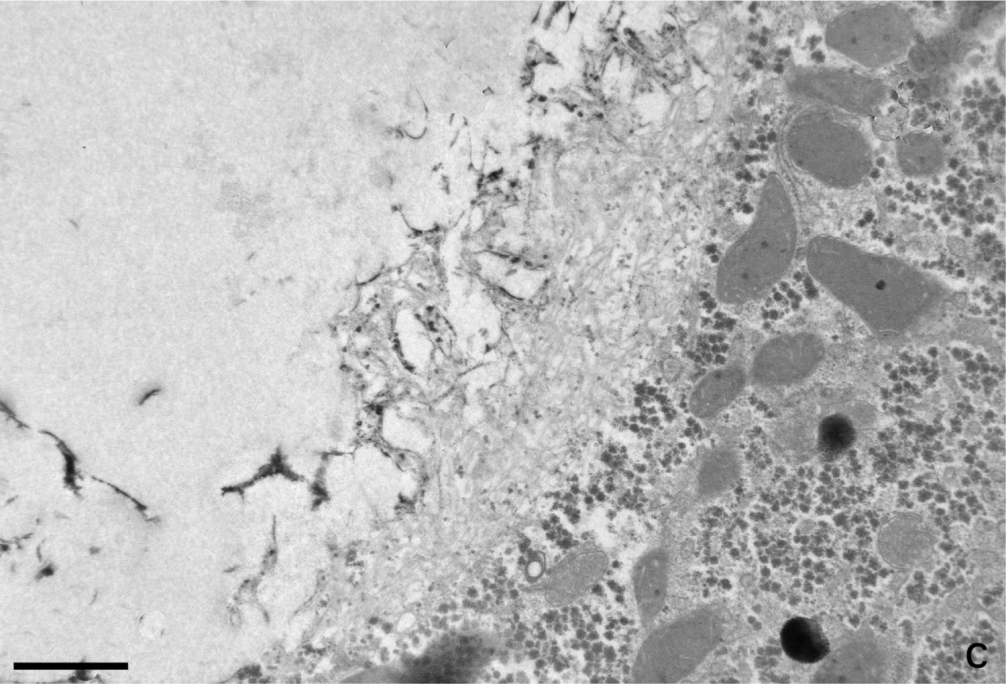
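This high-magnification electron micrograph shows the edge of a lipid droplet lying against the cytoplasm of a parenchymal liver cell. The left part is filled by the pale, finely homogeneous content of the droplet, with a few dark wisps scattered in it. Toward the middle, fine thread-like filaments and irregular darker fragments form a loose band at the margin of the droplet. The right part is cytoplasm packed with oval grey mitochondria and many small dark granular clusters, with a couple of round, very dense bodies. No distinct membrane line separates the droplet content from the cytoplasm.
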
